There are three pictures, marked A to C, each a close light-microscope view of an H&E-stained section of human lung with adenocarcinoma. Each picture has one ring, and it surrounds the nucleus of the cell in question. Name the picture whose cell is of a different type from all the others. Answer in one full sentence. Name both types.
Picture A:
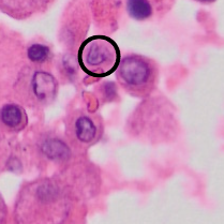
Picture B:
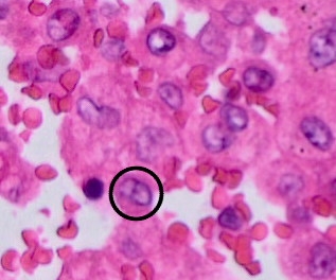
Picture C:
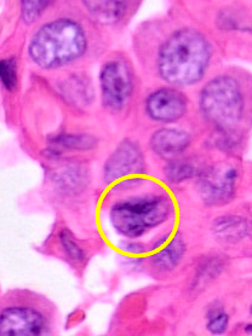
Unlike the rest, which show “macrophages or monocytes”, picture C shows a carcinoma cell.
